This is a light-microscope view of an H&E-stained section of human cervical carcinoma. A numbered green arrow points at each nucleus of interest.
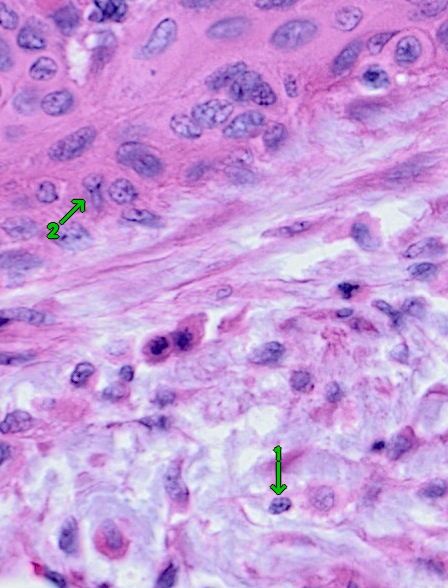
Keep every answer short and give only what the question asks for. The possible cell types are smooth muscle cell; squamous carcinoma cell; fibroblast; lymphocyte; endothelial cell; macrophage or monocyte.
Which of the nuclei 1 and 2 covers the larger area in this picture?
2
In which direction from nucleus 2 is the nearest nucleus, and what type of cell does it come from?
a squamous carcinoma cell to the right of nucleus 2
